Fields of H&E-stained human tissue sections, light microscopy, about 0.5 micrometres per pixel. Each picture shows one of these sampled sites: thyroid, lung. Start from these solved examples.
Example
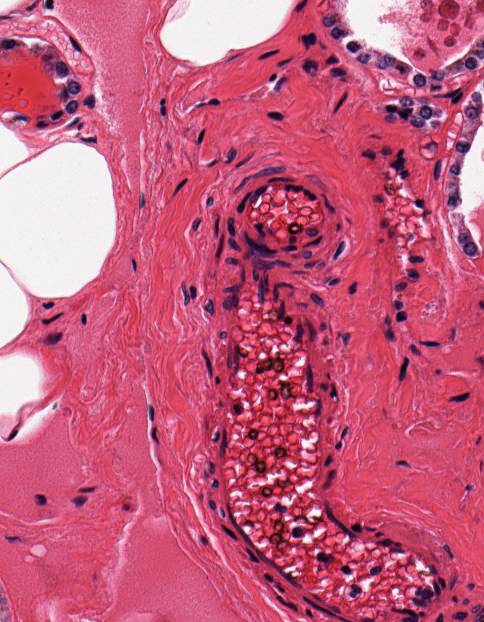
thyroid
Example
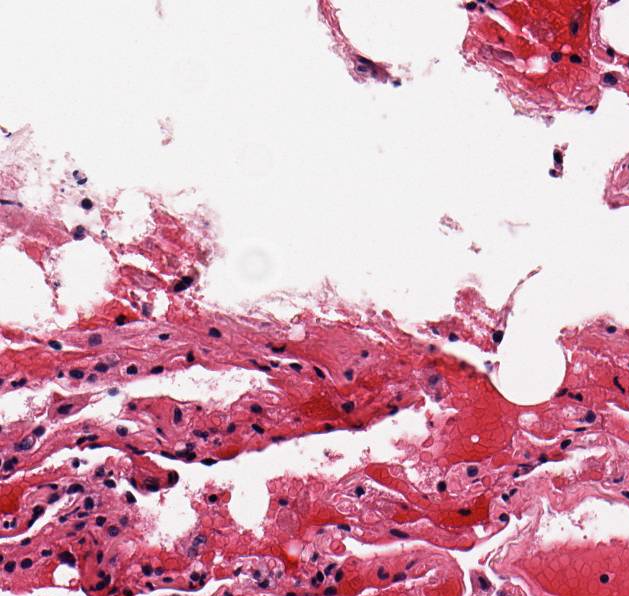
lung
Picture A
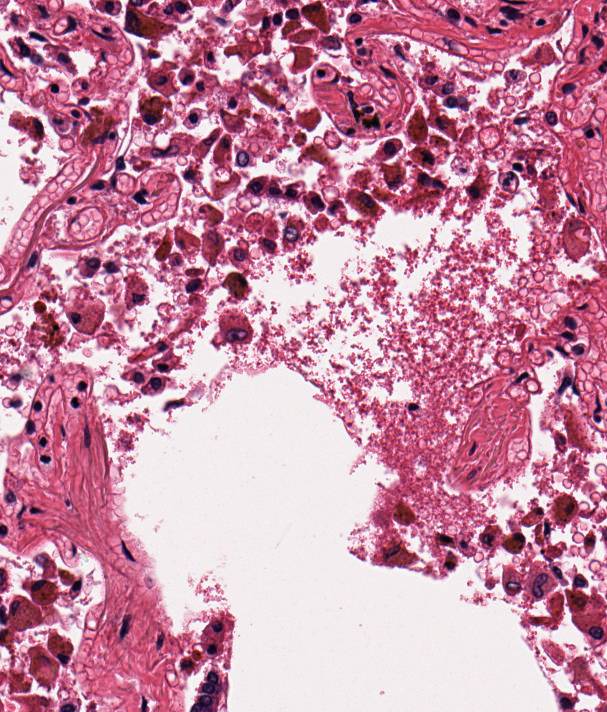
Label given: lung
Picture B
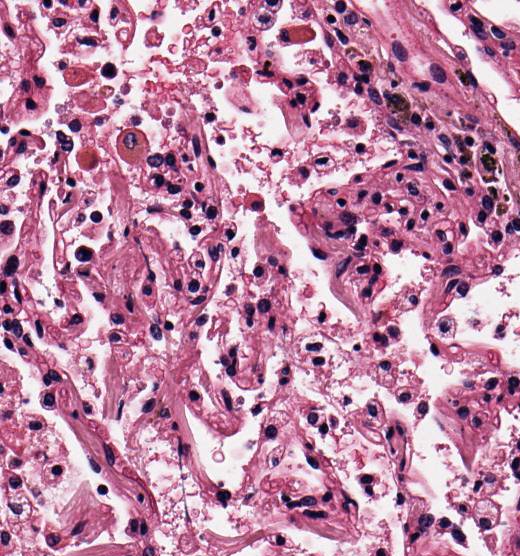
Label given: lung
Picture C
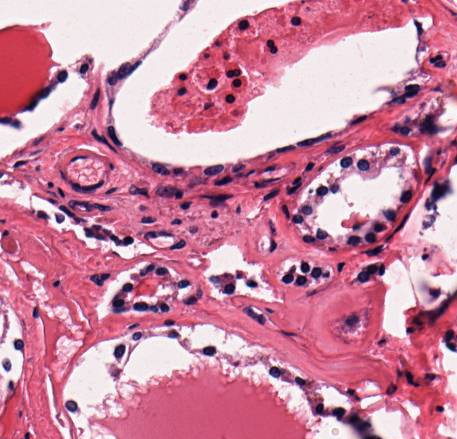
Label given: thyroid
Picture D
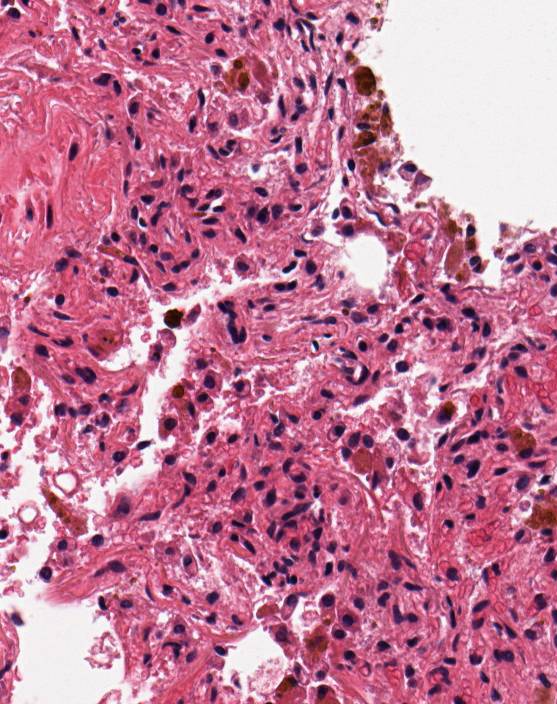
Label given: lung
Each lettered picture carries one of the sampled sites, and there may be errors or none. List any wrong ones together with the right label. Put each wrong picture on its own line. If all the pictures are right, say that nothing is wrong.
Every label is right.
